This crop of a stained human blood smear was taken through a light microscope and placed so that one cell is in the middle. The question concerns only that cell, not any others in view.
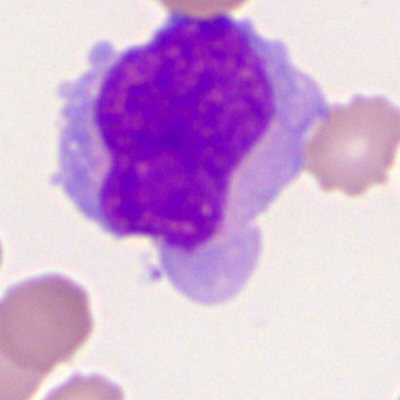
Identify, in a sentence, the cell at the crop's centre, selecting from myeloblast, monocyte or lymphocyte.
The cell nearest the centre of this crop is a monocyte.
